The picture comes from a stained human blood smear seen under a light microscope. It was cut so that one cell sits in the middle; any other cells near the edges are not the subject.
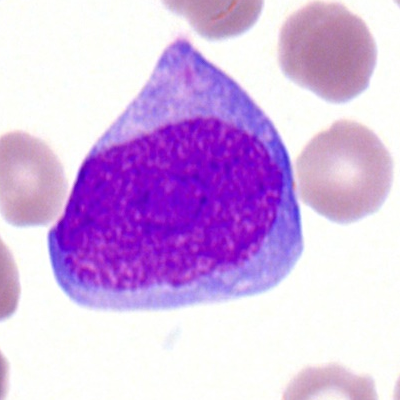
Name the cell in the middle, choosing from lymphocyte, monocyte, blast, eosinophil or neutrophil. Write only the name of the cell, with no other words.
blast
